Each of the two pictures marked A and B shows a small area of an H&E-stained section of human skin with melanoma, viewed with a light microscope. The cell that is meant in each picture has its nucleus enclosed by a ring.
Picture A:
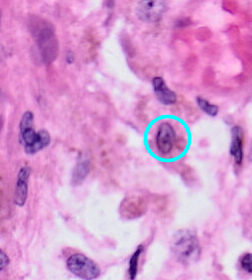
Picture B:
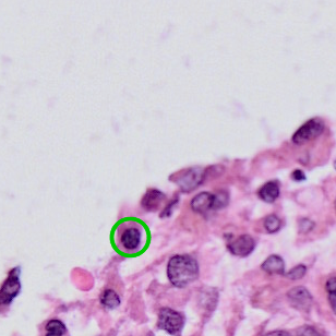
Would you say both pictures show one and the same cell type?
no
